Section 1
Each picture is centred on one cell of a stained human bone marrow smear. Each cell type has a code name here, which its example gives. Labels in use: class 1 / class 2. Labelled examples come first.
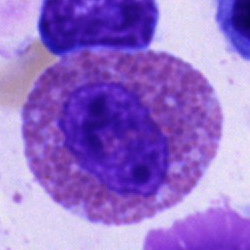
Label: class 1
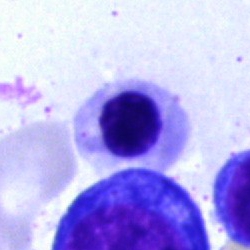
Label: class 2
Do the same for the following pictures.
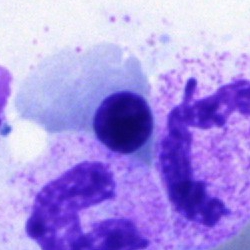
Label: class 2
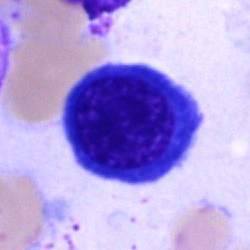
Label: class 2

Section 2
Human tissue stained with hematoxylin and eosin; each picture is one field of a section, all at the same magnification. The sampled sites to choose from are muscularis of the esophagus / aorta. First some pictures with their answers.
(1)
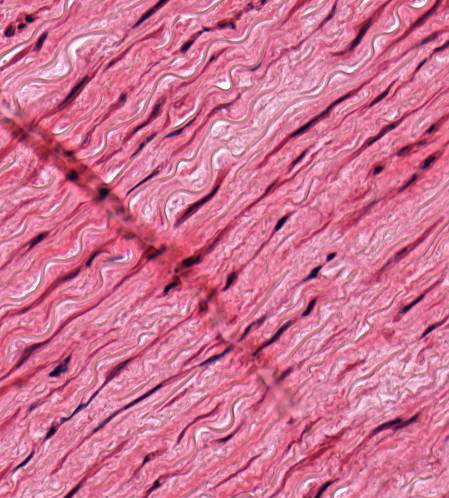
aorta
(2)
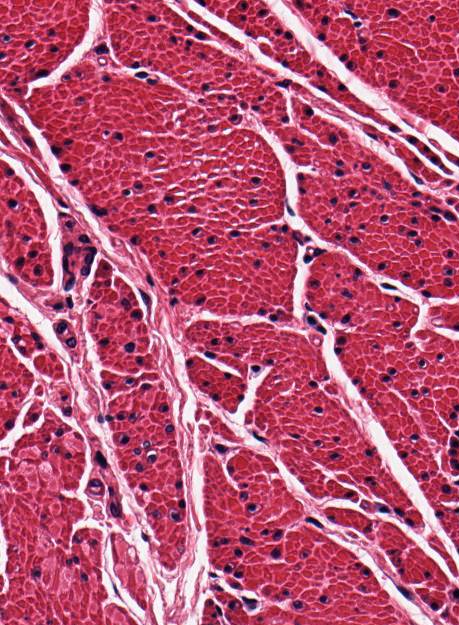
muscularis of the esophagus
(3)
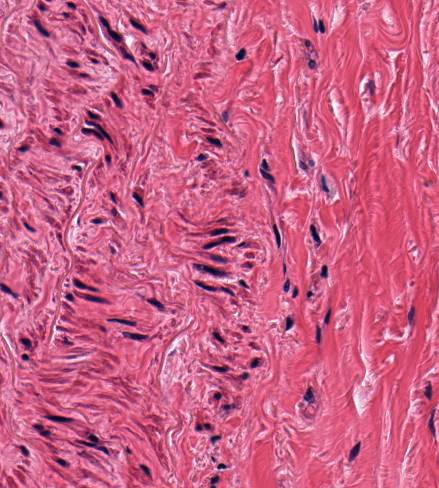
aorta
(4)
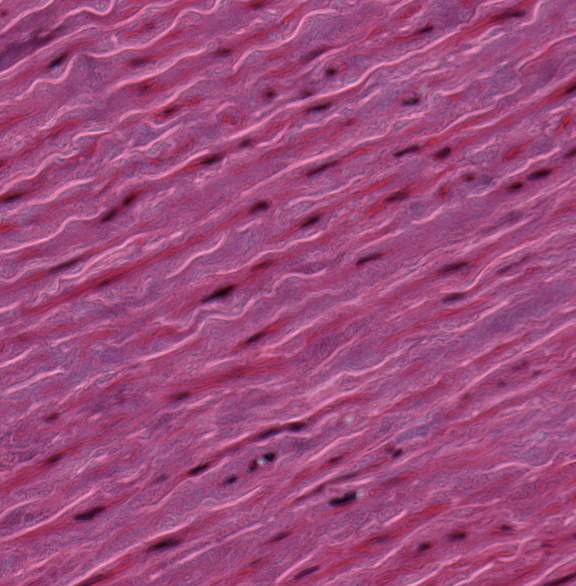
aorta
